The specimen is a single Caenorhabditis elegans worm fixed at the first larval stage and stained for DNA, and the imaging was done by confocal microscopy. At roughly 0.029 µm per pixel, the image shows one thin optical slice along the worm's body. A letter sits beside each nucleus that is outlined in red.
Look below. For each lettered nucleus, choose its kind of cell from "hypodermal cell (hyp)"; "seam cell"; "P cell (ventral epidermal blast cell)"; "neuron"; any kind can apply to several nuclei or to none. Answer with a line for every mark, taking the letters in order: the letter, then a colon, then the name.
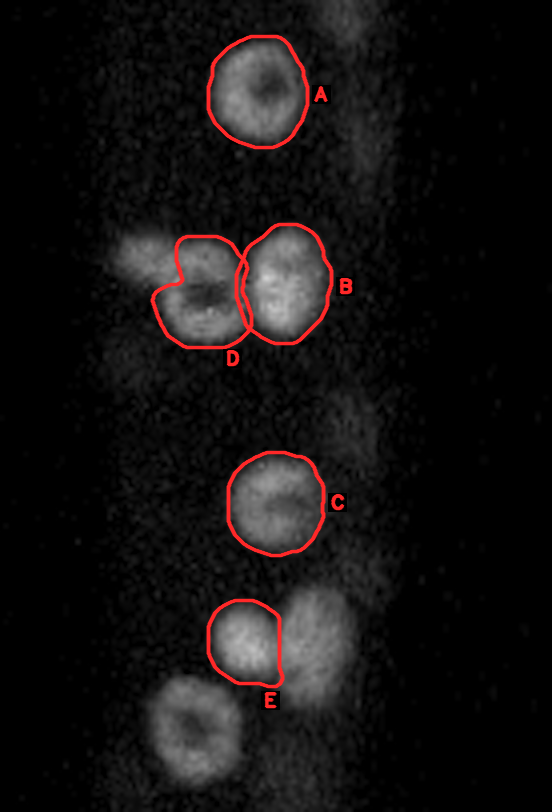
A: seam cell
B: P cell (ventral epidermal blast cell)
C: seam cell
D: hypodermal cell (hyp)
E: neuron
